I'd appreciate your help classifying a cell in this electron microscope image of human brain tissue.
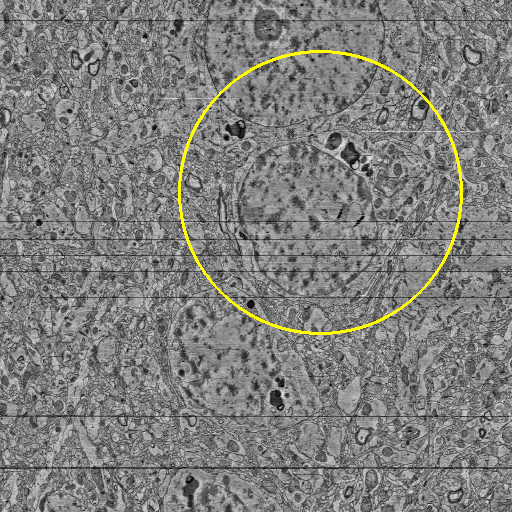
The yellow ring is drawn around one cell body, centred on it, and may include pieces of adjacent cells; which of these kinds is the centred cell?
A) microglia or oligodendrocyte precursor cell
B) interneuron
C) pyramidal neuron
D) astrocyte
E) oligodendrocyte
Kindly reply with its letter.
B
